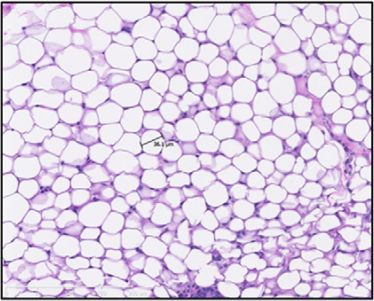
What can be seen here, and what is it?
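Numerous small purple nuclei are scattered between the cells, and the tissue overall looks more strongly stained than ordinary fat because of the many cell borders. Areas of pinker stroma appear toward one side of the field, and a small cluster of dark nuclei lies near the lower edge.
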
